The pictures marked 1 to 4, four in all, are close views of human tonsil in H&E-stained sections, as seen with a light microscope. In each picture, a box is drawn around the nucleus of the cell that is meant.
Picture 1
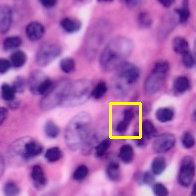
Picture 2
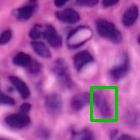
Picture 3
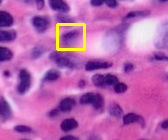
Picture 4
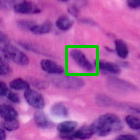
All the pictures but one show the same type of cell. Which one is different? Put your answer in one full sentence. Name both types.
Unlike the rest, which show endothelial cells, picture 2 shows a squamous epithelial cell.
